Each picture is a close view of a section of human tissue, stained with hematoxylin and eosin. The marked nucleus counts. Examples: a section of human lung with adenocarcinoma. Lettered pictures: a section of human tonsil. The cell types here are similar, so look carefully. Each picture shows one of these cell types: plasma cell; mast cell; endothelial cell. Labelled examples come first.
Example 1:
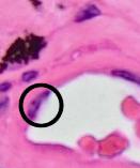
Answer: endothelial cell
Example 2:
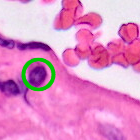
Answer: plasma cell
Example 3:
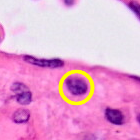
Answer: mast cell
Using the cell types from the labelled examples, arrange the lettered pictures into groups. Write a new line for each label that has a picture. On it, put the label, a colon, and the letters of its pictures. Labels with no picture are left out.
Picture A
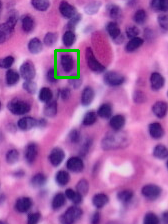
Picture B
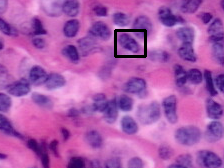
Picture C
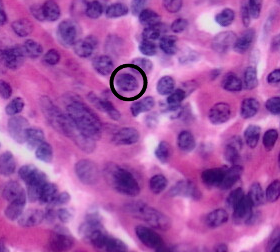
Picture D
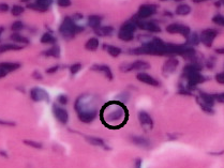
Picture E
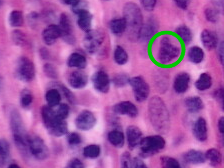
plasma cell: A, B, C
endothelial cell: D, E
